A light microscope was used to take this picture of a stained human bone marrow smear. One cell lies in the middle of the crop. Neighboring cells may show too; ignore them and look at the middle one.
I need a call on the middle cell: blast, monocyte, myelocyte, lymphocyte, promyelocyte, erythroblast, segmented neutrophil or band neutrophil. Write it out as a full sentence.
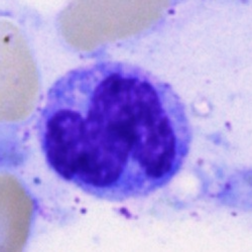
The crop shows a monocyte in its centre.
